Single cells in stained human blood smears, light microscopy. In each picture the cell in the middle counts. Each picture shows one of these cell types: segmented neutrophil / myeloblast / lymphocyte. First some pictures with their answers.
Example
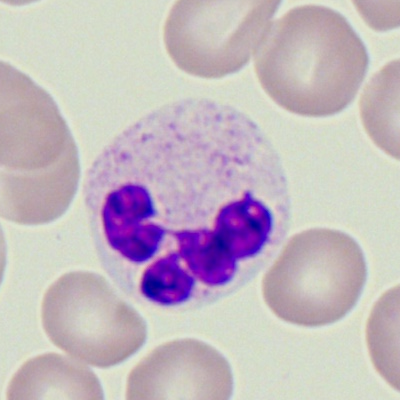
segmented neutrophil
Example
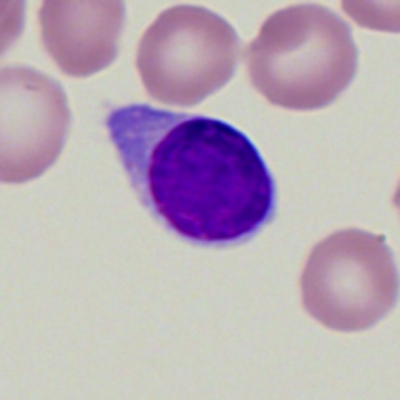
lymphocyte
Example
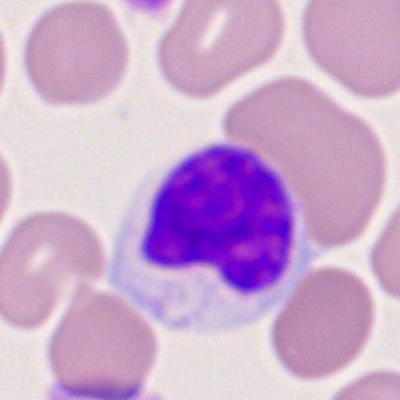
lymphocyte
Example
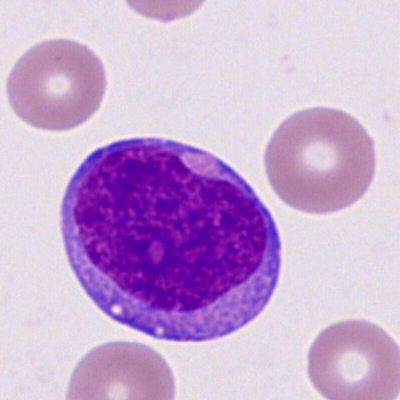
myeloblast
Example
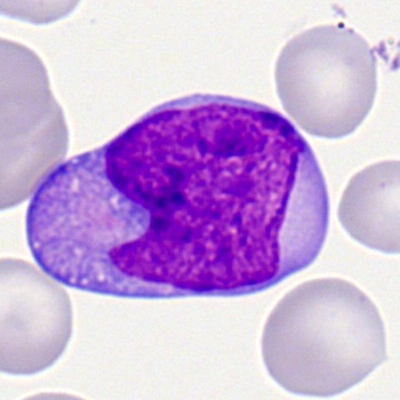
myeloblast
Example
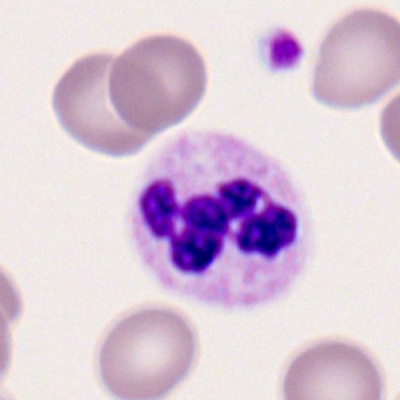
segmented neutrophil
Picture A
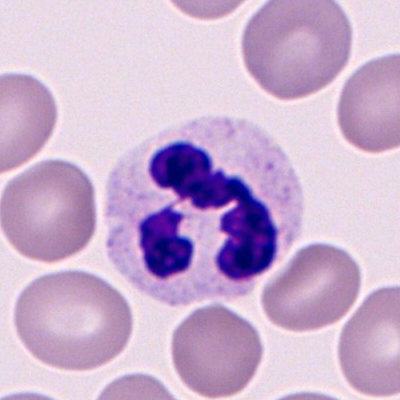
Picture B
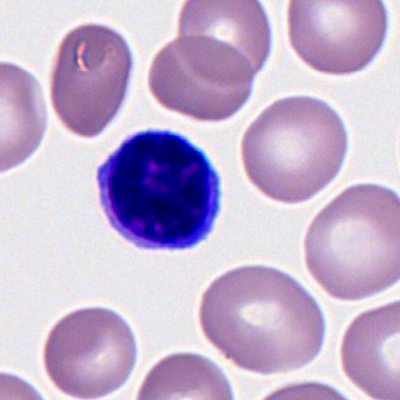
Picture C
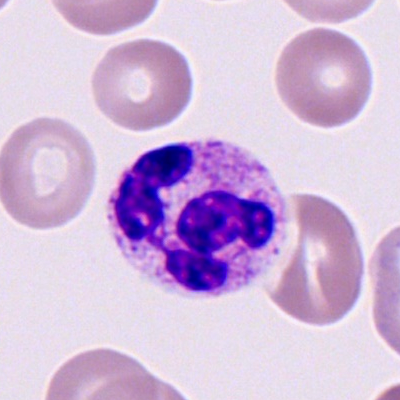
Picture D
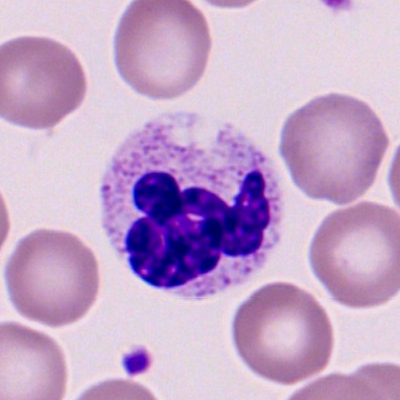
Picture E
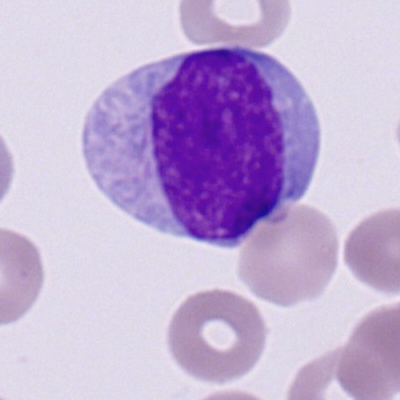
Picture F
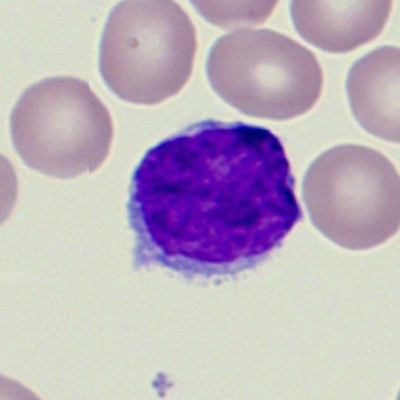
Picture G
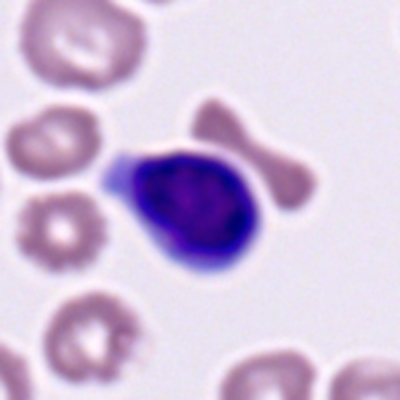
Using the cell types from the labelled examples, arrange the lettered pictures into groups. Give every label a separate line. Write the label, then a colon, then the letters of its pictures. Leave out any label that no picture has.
segmented neutrophil: A, C, D
myeloblast: E
lymphocyte: B, F, G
